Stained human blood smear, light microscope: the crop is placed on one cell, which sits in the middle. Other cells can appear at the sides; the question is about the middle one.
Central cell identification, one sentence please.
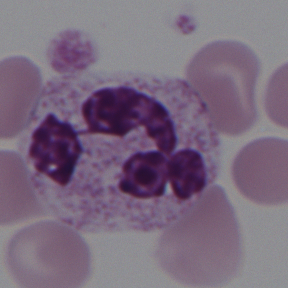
This particular crop is centered on a segmented neutrophil.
